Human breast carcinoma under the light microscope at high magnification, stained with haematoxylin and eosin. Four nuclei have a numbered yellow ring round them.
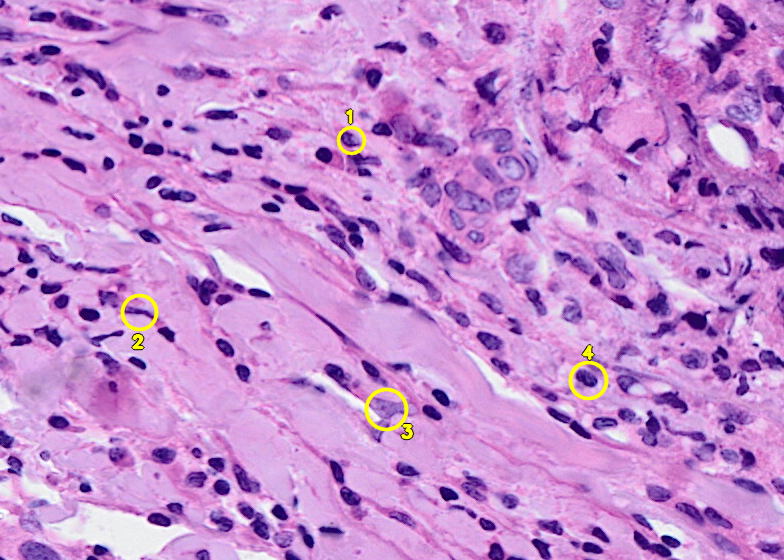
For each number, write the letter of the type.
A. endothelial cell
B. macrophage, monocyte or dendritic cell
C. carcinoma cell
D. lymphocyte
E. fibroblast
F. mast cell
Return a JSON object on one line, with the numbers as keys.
{"1": "F", "2": "E", "3": "E", "4": "D"}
